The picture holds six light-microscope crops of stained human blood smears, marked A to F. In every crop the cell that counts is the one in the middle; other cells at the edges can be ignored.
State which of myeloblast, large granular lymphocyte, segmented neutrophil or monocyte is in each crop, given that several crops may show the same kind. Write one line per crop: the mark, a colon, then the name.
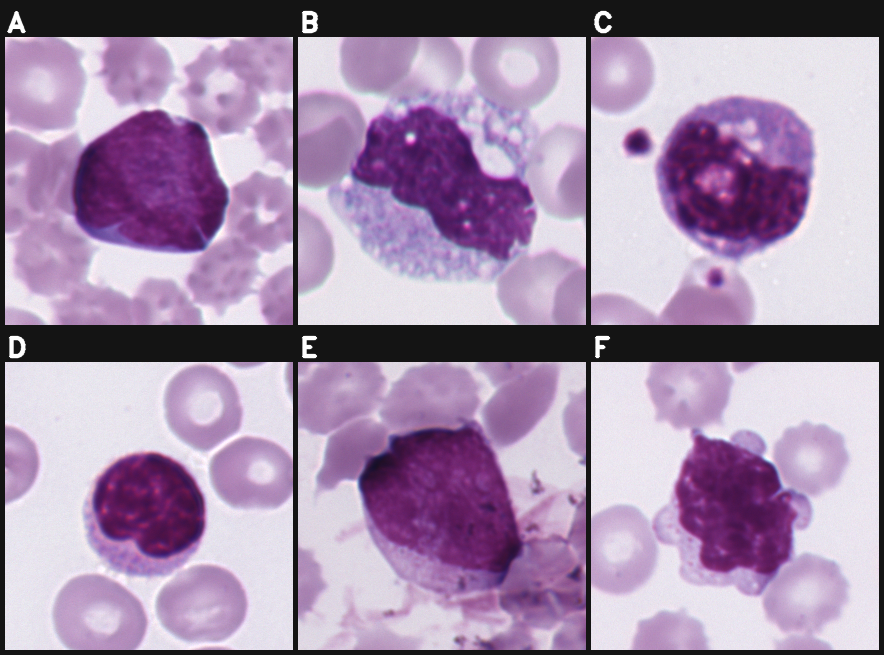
A: myeloblast
B: monocyte
C: monocyte
D: large granular lymphocyte
E: myeloblast
F: large granular lymphocyte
